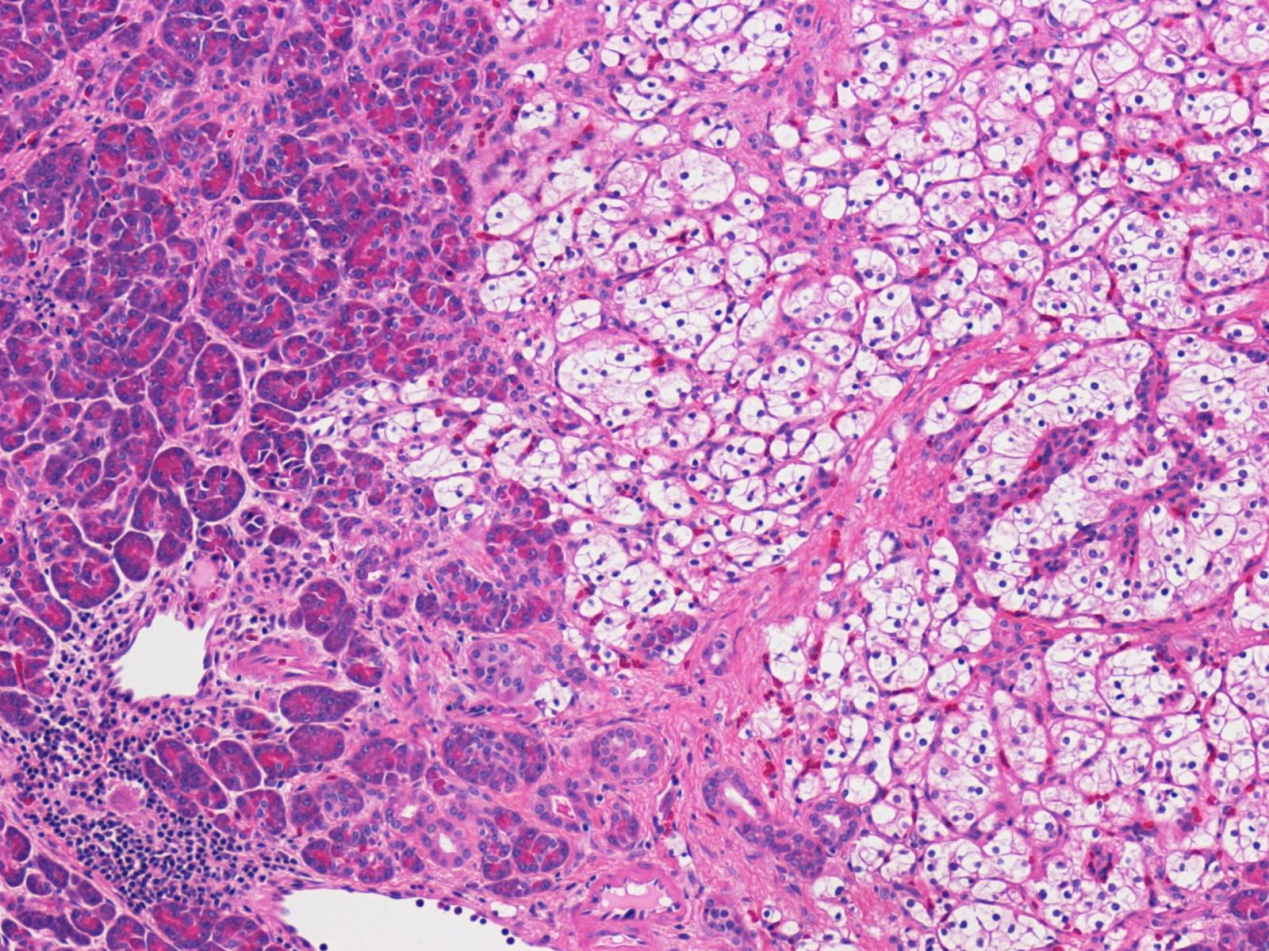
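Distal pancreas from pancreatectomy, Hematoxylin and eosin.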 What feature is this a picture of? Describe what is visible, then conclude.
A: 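Highly vascularized stroma. Thin pink septa run between the nests of clear cells. Small red blood cells lie in slender channels within these septa throughout the clear-cell area.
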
